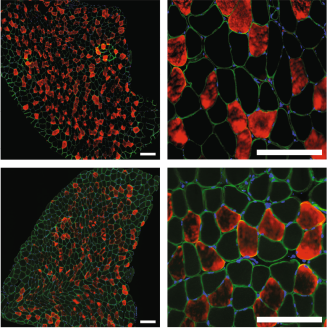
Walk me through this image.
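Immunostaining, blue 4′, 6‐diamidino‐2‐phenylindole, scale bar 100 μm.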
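These are cross-sections of skeletal muscle, with each fiber seen as a polygonal profile outlined in green, so the whole muscle looks like a tightly packed mosaic. At low magnification the red-filled fibers are scattered across the section among the many fibers with black interiors, in a checkerboard-like mix rather than in clusters. At high magnification the fibers are packed closely side by side with little space between them, and their green outlines form a continuous network. Small blue nuclei lie at the fiber edges, next to the green outlines, rather than in the fiber centres.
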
